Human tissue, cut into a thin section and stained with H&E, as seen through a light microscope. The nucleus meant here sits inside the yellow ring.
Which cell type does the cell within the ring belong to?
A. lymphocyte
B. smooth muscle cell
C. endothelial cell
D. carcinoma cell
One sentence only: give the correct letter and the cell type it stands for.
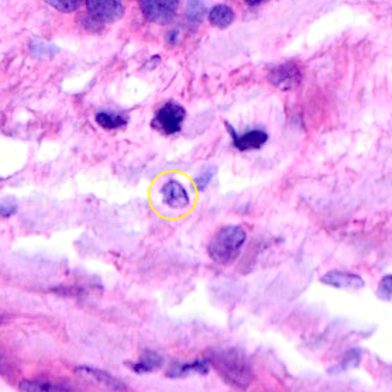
In keeping with option A, the cell within the ring is a lymphocyte.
